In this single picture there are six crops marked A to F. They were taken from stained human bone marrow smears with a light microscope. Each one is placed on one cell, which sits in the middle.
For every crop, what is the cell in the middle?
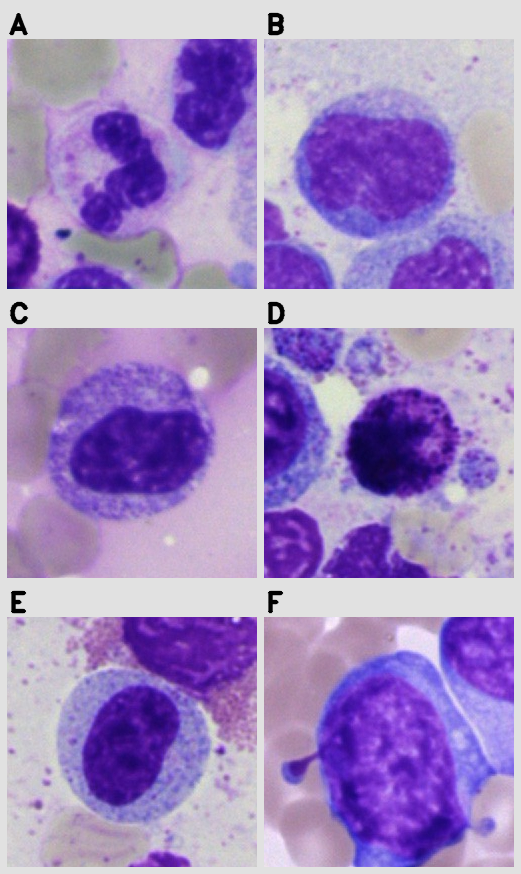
A: segmented neutrophil
B: monocyte
C: metamyelocyte
D: basophil
E: myelocyte
F: blast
